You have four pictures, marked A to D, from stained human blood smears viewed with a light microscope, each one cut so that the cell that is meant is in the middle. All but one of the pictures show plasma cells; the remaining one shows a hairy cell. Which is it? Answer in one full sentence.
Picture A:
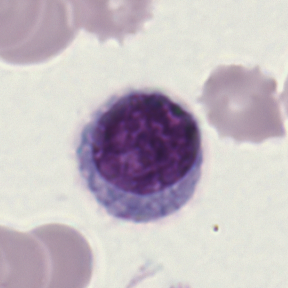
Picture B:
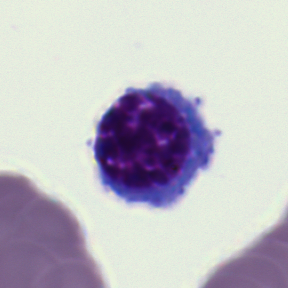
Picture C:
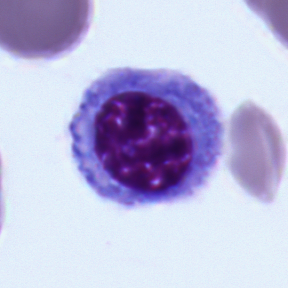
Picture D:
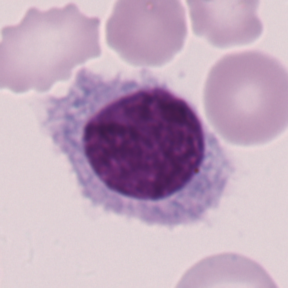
The hairy cell is the one in picture D.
